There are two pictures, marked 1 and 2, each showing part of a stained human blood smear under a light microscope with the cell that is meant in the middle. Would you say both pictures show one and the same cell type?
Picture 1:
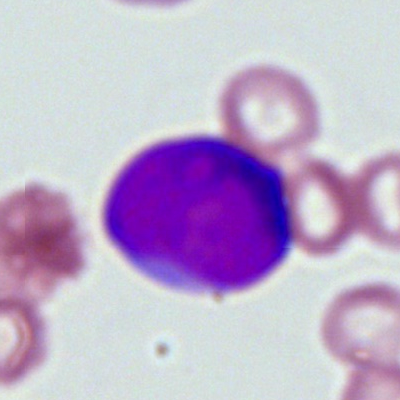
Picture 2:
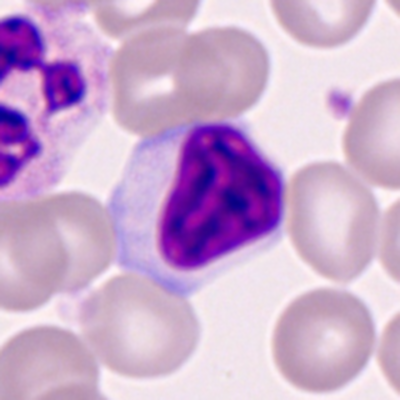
no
